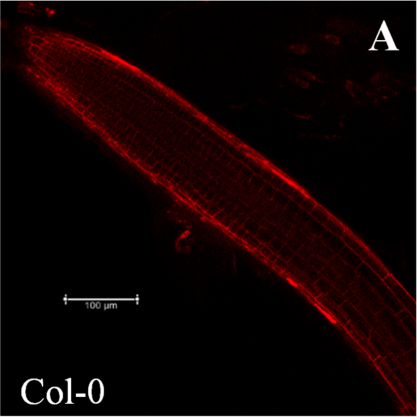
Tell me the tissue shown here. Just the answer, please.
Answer: Root tip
